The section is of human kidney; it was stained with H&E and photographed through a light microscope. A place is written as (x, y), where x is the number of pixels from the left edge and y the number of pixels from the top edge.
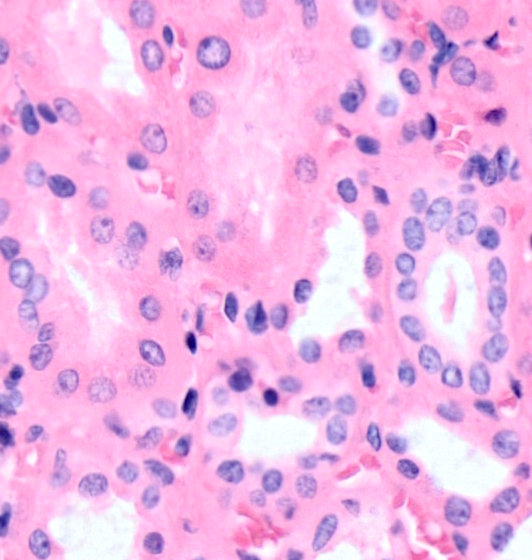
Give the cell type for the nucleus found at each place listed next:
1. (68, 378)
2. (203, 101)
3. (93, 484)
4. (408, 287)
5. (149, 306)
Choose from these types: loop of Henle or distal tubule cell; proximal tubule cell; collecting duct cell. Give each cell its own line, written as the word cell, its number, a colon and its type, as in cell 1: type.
cell 1: proximal tubule cell
cell 2: proximal tubule cell
cell 3: loop of Henle or distal tubule cell
cell 4: collecting duct cell
cell 5: proximal tubule cell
